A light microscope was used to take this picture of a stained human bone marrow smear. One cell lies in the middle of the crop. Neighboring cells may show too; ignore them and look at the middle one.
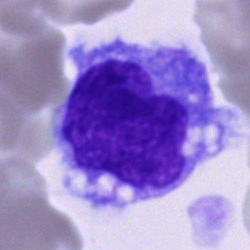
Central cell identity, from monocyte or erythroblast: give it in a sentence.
The centrally located cell in the crop is a monocyte.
